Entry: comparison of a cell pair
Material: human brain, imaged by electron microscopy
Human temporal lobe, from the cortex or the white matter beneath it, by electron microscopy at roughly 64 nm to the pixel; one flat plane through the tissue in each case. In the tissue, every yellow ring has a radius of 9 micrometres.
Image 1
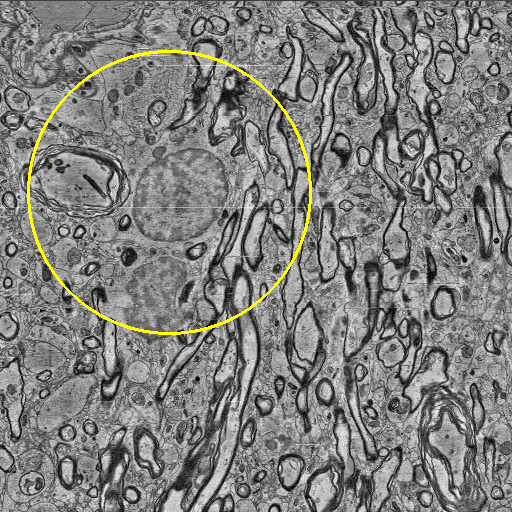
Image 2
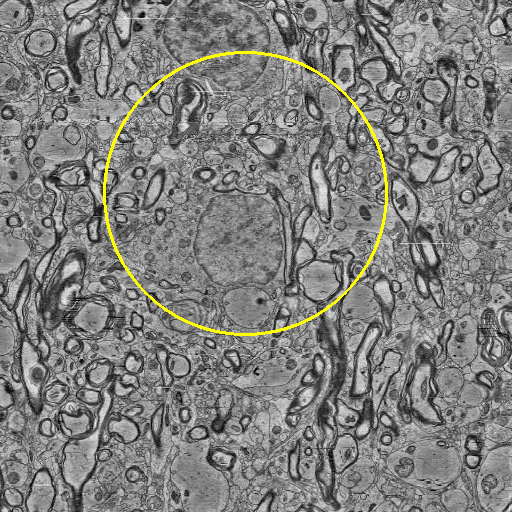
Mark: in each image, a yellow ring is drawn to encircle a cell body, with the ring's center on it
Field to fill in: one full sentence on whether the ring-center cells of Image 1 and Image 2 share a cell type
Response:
Yes, Image 1 and Image 2 each show a ring-center cell of one shared type.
